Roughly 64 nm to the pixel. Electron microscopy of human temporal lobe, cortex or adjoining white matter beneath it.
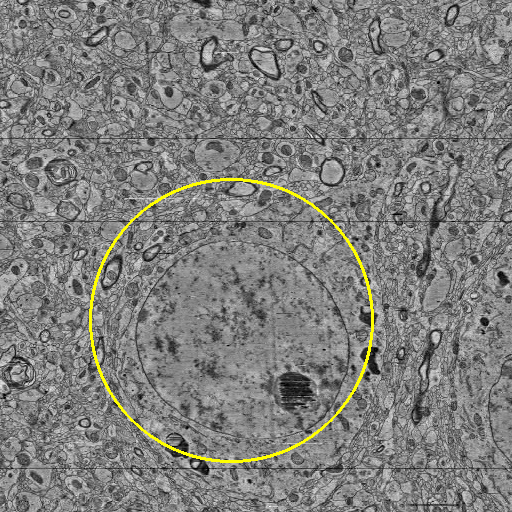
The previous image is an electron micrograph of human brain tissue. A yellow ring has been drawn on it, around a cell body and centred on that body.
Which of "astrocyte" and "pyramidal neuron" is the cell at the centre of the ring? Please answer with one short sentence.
The cell body at the centre of the ring belongs to a pyramidal neuron.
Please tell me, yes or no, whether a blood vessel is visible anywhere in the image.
No.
